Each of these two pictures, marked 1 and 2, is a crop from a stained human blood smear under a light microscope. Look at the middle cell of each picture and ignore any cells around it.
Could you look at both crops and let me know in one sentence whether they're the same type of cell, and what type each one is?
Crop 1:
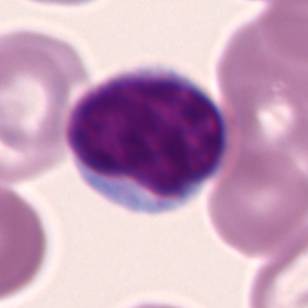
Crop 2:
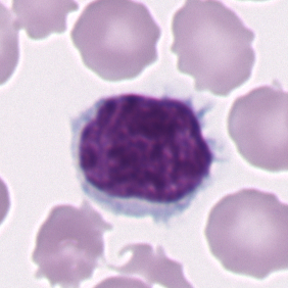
No, what crop 1 shows is a typical lymphocyte, and what crop 2 shows is a hairy cell.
